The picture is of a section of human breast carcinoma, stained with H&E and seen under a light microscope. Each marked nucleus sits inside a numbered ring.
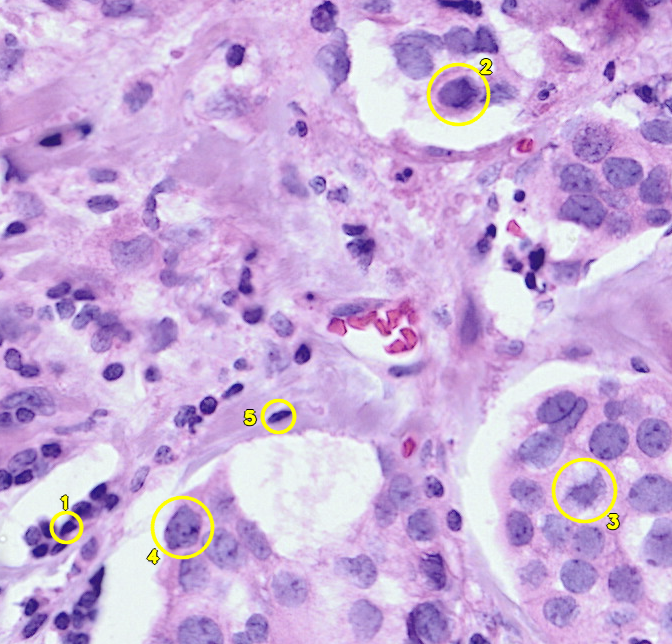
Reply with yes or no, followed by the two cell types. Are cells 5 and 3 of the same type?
No, cell 5 is a lymphocyte and cell 3 is a carcinoma cell.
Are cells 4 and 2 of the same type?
Yes, both are carcinoma cells.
